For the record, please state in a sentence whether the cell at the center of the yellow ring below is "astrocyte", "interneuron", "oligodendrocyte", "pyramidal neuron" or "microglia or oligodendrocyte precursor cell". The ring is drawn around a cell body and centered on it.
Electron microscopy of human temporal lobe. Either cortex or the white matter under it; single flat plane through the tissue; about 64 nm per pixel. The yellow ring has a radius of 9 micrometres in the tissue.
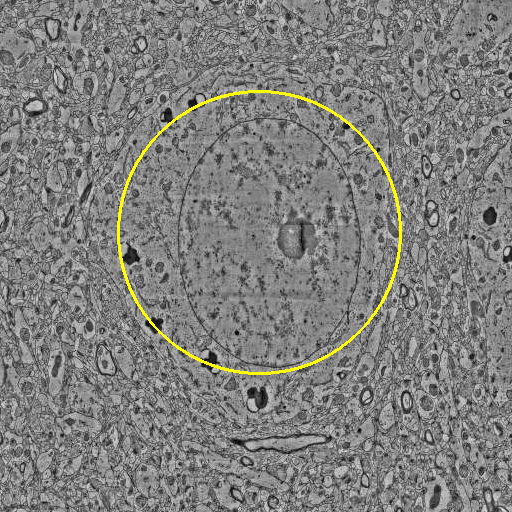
The cell at the ring's center is a pyramidal neuron.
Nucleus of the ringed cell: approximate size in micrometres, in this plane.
In this plane, about 16 micrometres in length and 12 in width.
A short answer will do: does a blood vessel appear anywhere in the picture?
No, there is no blood vessel in the image.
